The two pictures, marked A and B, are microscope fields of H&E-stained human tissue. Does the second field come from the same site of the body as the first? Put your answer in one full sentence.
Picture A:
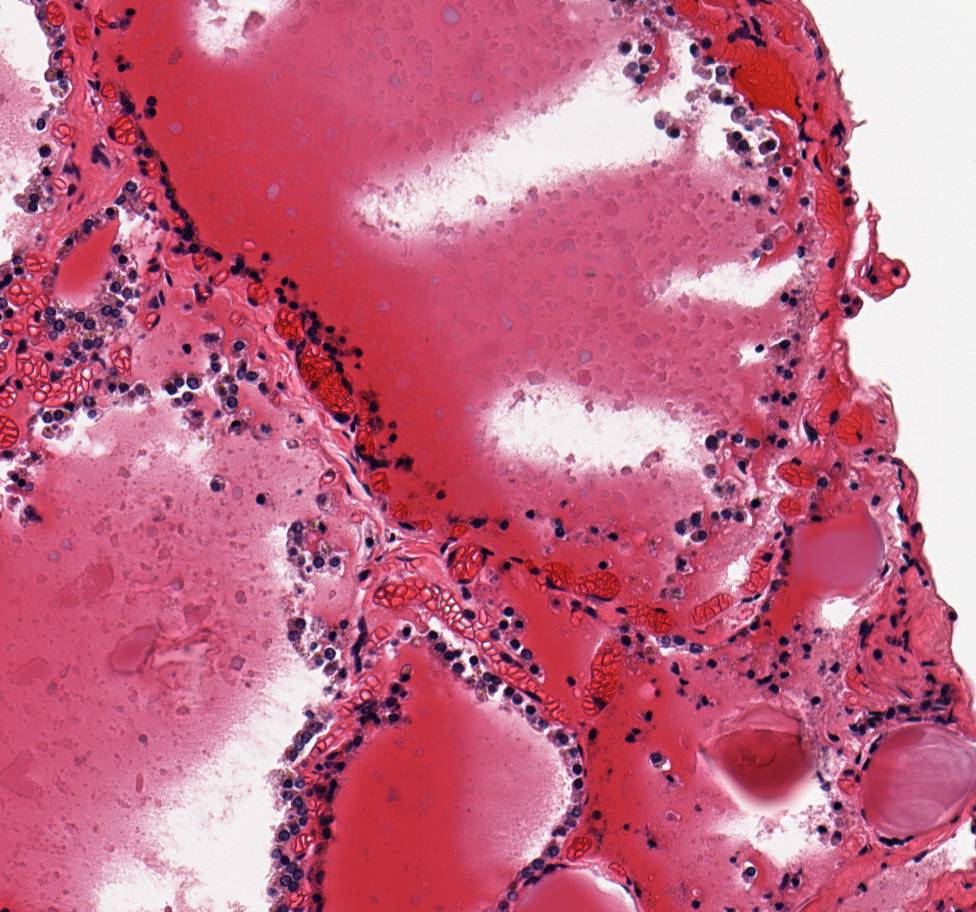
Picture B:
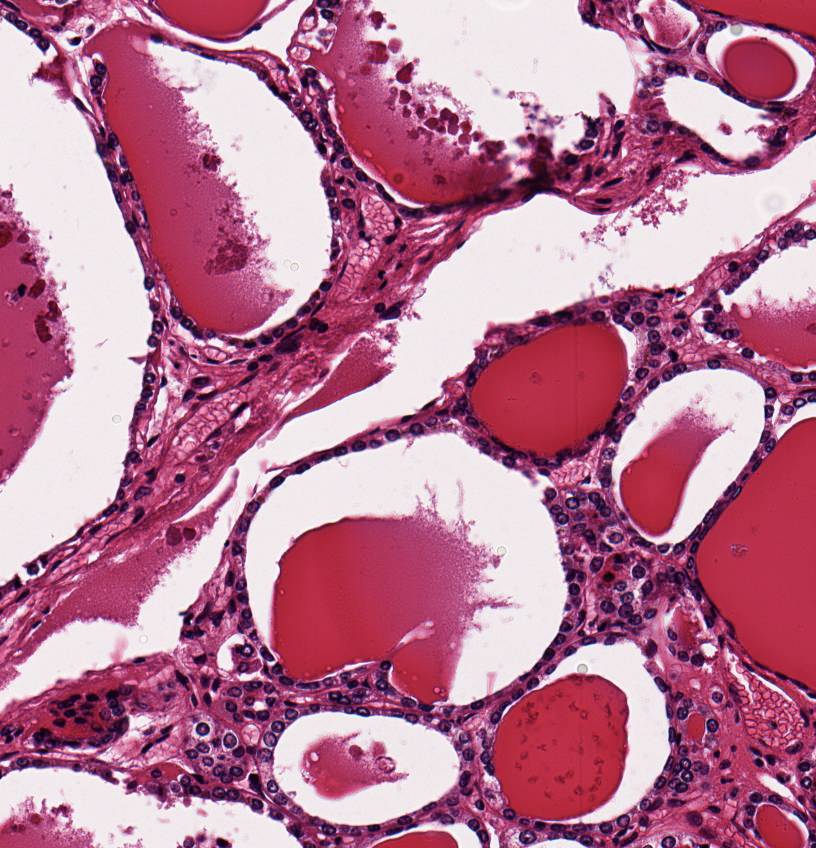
Yes; both pictures come from the thyroid.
